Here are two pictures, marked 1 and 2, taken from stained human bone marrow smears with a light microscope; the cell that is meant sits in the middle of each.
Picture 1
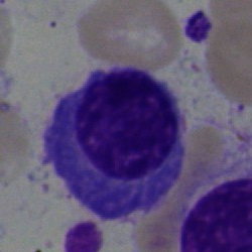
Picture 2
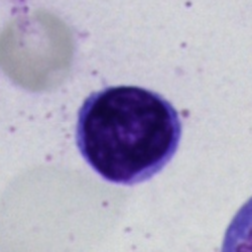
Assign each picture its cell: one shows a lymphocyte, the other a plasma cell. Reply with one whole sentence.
Picture 1 shows a plasma cell and picture 2 shows a lymphocyte.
